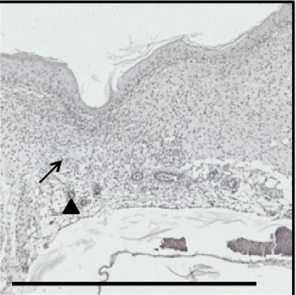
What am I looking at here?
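Healing skin wound with a thickened epidermis that dips down into a central depression. Beneath it lies a dense, highly cellular tissue made up of many small nuclei and spindle-shaped cells, with scattered small vessel profiles. The deeper part is looser and borders fragments of muscle at the lower right. Adnexal structures are few compared with normal skin.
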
